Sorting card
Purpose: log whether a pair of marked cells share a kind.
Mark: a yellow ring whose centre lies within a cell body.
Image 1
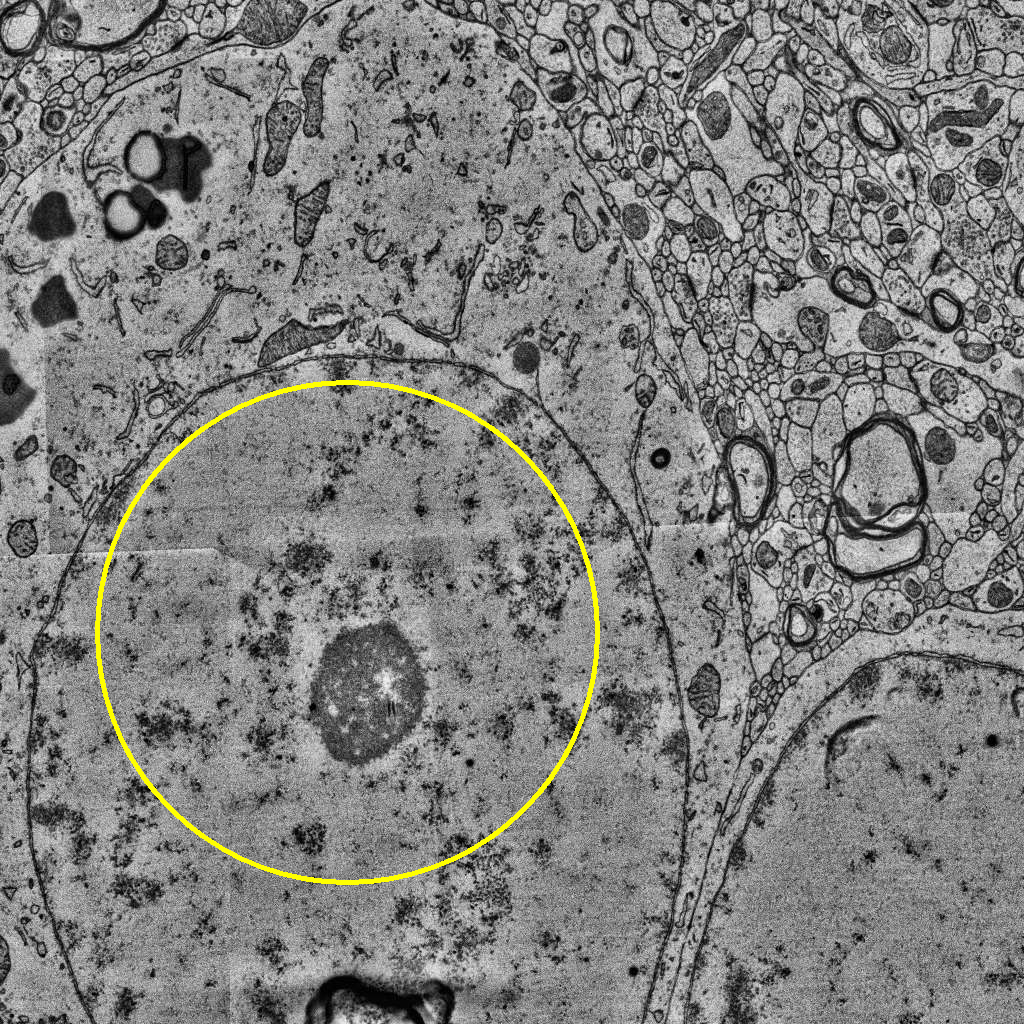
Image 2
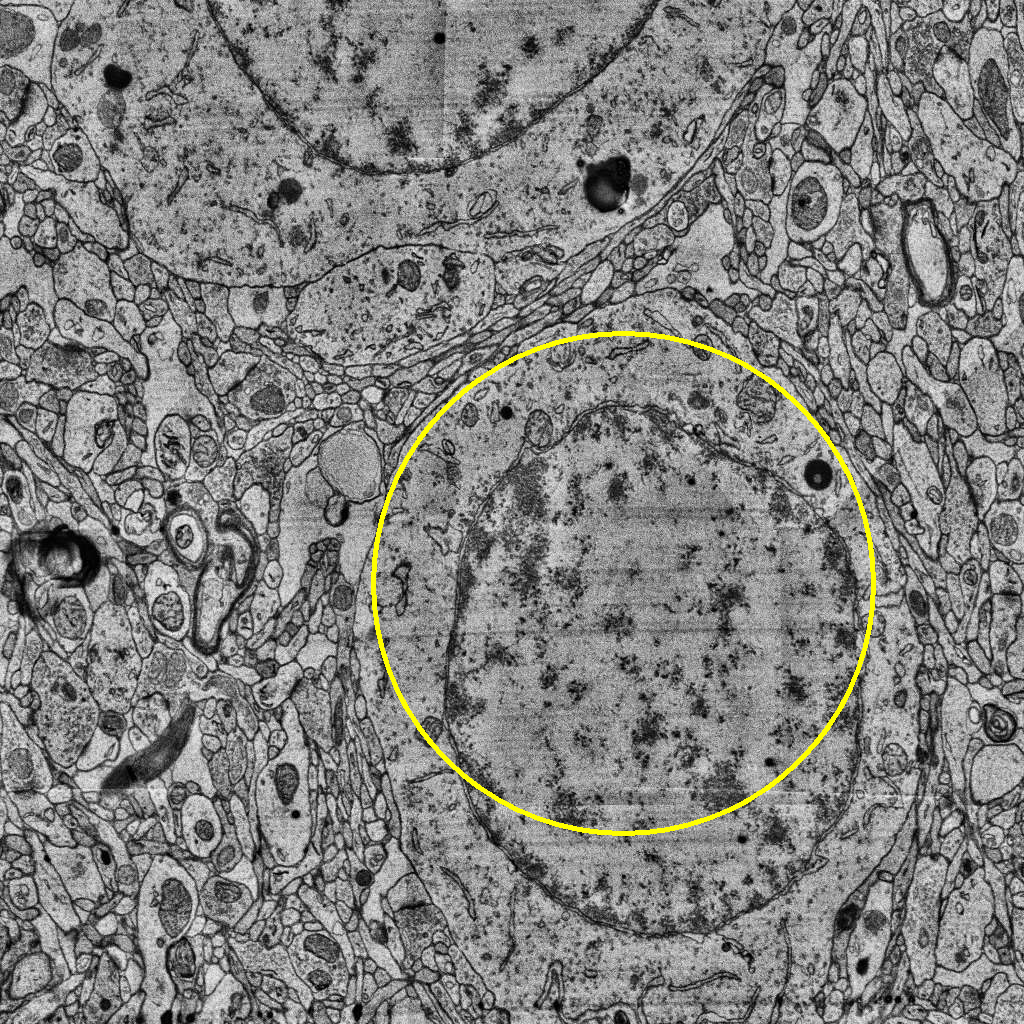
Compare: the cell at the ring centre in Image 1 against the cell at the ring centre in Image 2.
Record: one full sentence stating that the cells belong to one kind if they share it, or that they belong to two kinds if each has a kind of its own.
Across Images 1 and 2, the two cells at the ring centres belong to one kind.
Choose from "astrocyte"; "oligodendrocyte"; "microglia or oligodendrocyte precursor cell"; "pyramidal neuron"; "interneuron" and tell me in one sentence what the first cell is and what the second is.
Each of the two rings surrounds a pyramidal neuron.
